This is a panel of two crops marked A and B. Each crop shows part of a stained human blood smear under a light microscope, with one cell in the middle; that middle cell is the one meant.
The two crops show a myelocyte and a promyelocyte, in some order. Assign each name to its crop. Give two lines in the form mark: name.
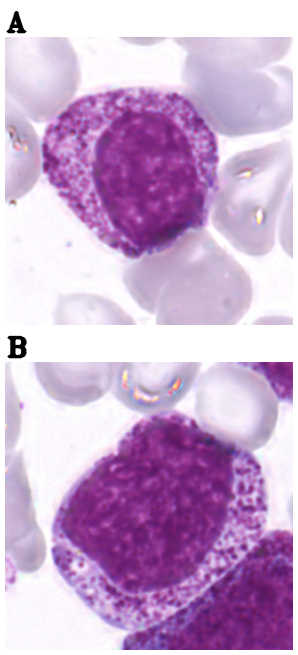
A: myelocyte
B: promyelocyte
